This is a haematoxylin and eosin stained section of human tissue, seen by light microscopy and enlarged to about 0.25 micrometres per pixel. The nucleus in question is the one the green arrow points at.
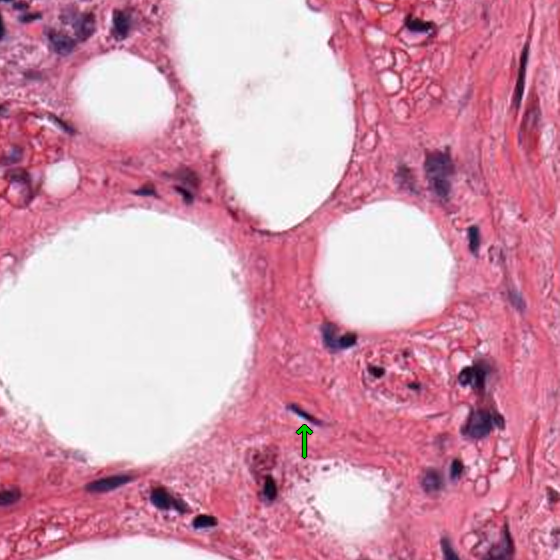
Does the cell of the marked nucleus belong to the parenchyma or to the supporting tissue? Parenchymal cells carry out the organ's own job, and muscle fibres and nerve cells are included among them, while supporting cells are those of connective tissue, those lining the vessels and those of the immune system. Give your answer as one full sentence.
The cell that the marked nucleus belongs to is a supporting cell.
